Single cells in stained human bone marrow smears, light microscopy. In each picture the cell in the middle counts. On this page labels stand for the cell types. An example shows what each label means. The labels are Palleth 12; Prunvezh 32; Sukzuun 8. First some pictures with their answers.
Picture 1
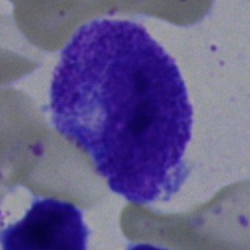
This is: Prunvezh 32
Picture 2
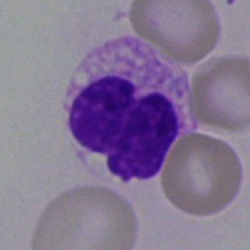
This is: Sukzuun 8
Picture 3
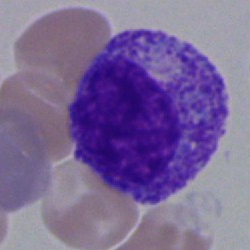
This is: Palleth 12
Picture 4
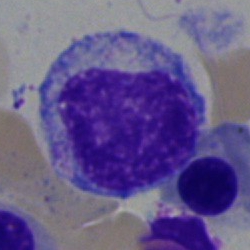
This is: Palleth 12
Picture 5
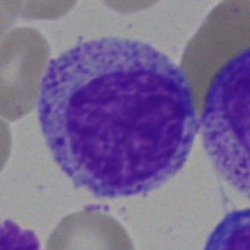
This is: Palleth 12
